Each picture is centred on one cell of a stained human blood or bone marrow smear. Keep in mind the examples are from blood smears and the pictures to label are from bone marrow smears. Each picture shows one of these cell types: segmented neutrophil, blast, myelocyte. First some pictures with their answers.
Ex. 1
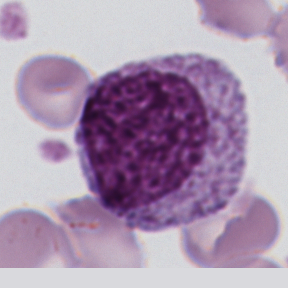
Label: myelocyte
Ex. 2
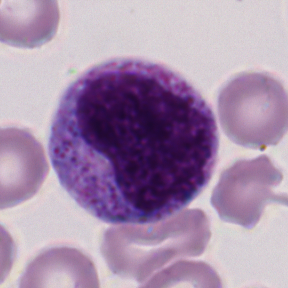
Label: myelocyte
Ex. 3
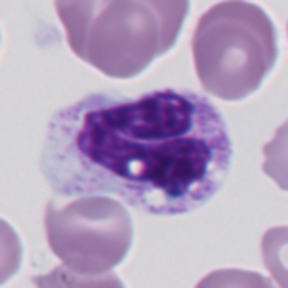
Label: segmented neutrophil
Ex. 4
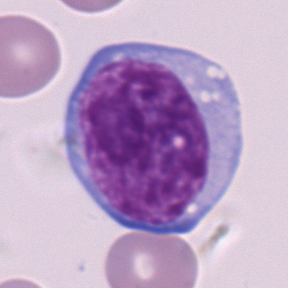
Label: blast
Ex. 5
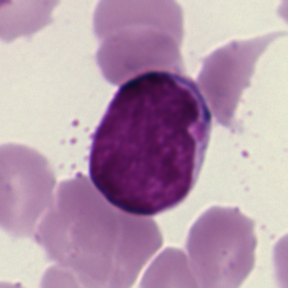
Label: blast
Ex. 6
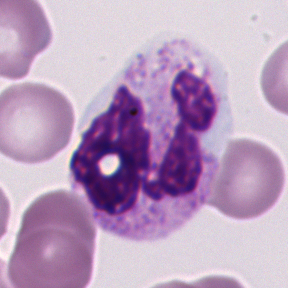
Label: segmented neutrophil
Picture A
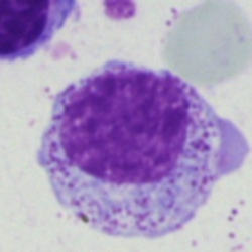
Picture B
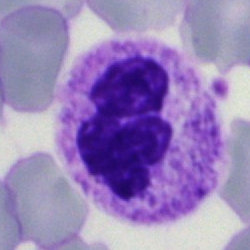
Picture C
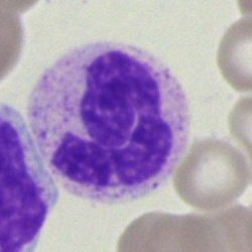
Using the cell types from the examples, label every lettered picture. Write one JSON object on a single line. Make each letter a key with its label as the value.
{"A": "myelocyte", "B": "segmented neutrophil", "C": "segmented neutrophil"}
